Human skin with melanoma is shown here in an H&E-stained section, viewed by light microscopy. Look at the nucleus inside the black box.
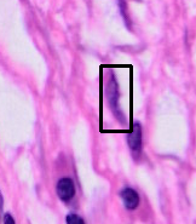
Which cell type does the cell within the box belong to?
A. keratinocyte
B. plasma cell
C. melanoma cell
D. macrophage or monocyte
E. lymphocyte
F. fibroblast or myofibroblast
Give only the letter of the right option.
F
